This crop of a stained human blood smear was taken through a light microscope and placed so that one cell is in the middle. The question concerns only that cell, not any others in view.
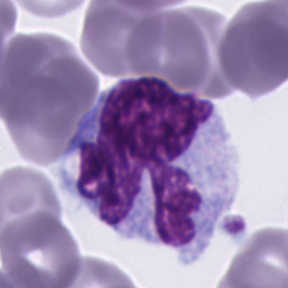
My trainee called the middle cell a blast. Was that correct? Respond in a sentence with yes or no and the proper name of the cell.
No, the centre cell is not a blast but a monocyte.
